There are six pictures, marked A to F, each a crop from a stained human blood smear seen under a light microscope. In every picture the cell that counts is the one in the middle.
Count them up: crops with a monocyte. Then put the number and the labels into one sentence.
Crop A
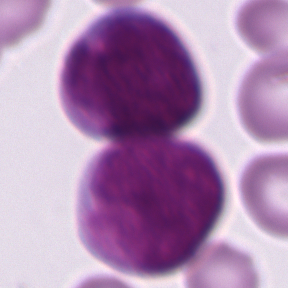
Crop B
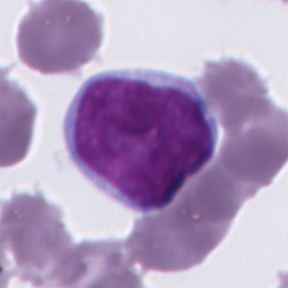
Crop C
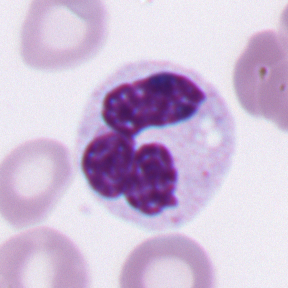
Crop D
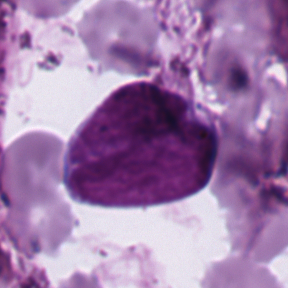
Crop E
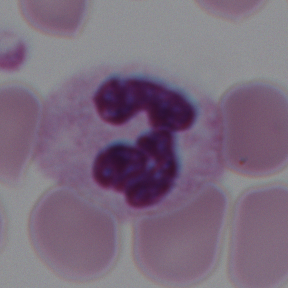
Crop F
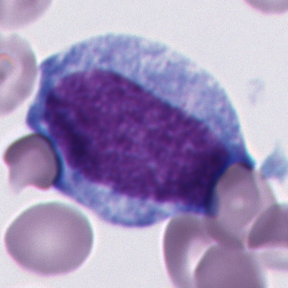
Of the crops, not a single one shows monocytes, so the count is zero.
